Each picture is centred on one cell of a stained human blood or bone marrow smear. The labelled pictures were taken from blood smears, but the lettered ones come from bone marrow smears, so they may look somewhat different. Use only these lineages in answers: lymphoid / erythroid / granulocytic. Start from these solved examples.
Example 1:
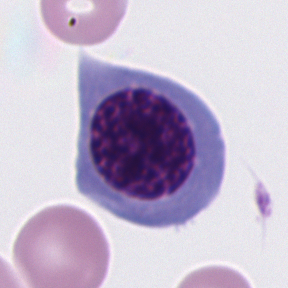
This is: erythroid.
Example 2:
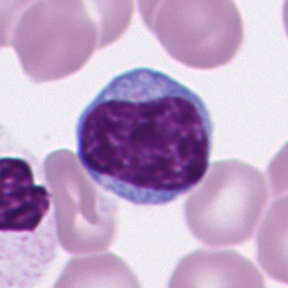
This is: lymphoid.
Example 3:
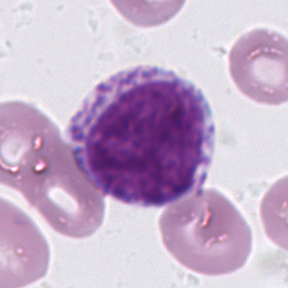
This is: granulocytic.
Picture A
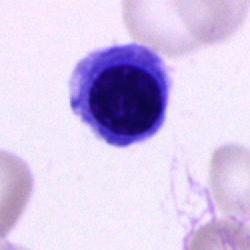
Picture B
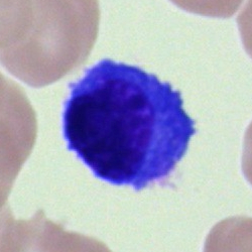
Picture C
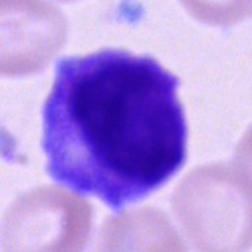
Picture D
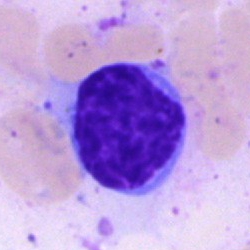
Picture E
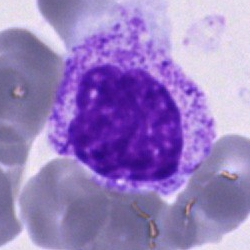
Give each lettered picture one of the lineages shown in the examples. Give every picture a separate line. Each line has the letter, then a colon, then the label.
A: erythroid.
B: lymphoid.
C: granulocytic.
D: lymphoid.
E: granulocytic.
